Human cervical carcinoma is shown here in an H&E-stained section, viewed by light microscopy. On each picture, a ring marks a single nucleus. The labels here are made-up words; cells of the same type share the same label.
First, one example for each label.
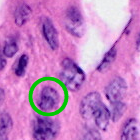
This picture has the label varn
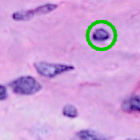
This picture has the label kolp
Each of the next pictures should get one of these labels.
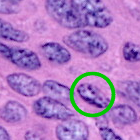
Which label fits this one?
varn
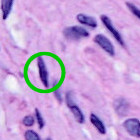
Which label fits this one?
kolp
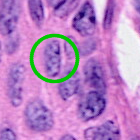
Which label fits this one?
varn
